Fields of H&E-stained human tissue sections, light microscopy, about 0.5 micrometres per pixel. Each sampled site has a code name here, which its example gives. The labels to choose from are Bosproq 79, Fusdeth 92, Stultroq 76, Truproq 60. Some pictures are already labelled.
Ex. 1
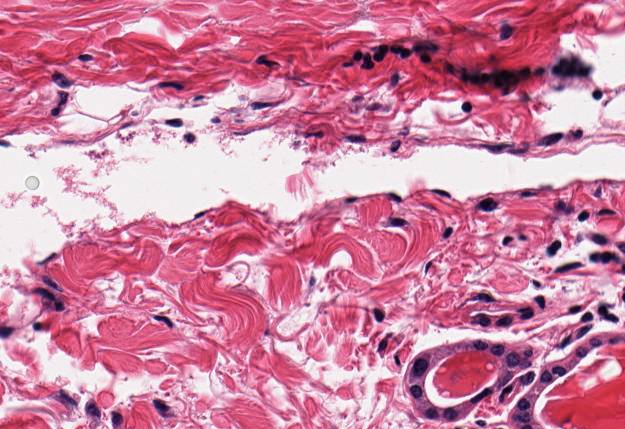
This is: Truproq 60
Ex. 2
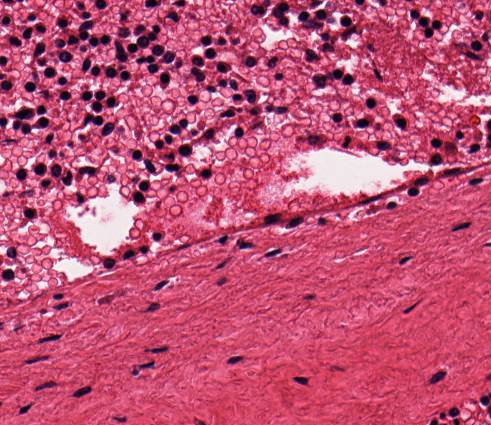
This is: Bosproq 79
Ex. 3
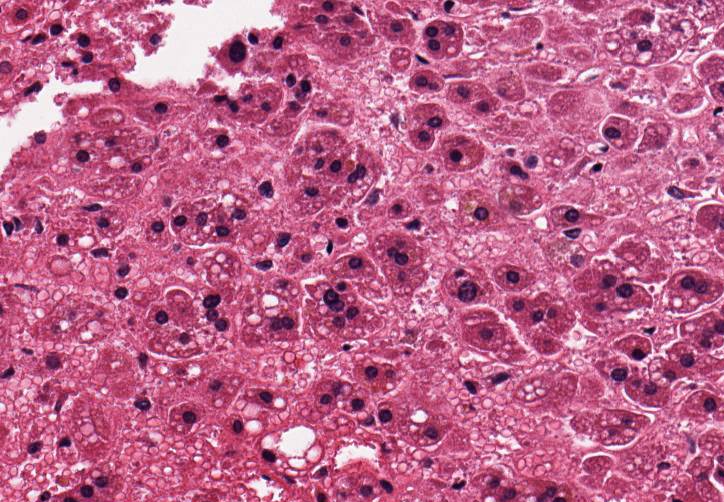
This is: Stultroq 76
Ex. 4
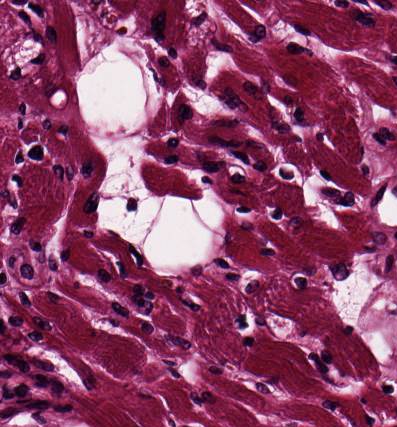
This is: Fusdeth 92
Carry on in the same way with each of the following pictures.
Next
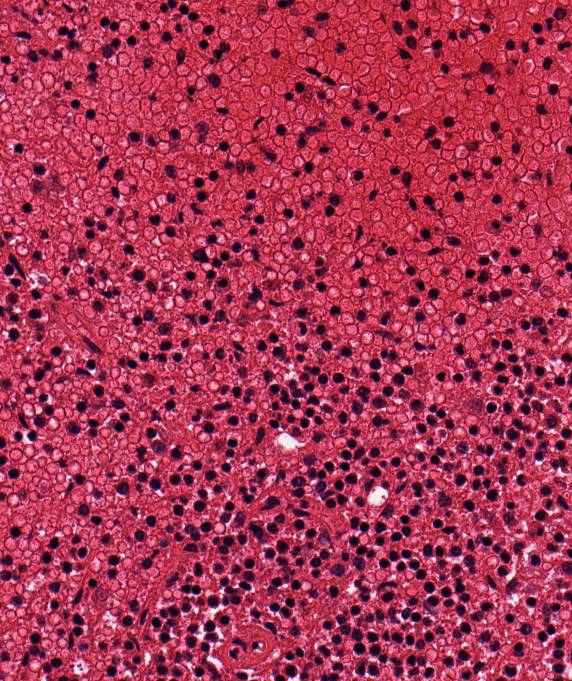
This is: Bosproq 79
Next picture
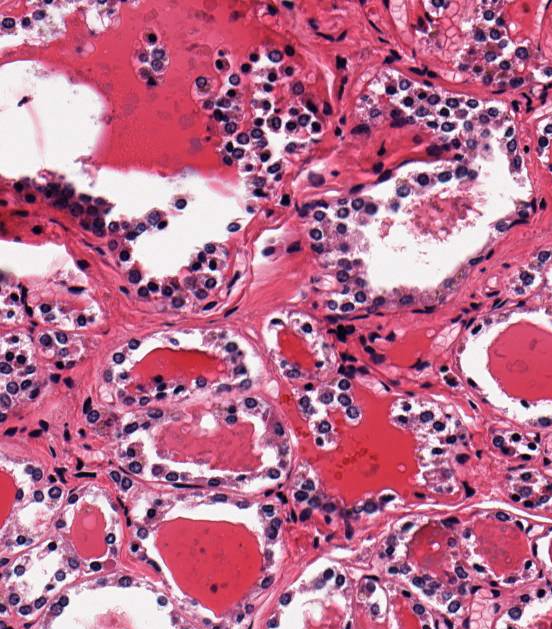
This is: Truproq 60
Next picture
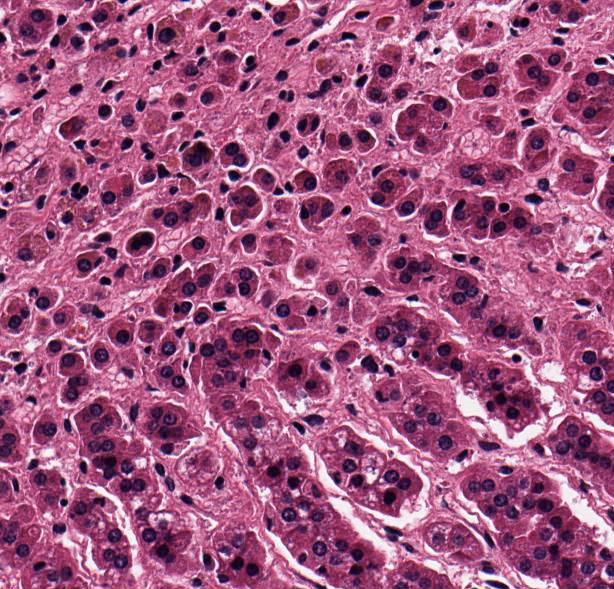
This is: Stultroq 76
